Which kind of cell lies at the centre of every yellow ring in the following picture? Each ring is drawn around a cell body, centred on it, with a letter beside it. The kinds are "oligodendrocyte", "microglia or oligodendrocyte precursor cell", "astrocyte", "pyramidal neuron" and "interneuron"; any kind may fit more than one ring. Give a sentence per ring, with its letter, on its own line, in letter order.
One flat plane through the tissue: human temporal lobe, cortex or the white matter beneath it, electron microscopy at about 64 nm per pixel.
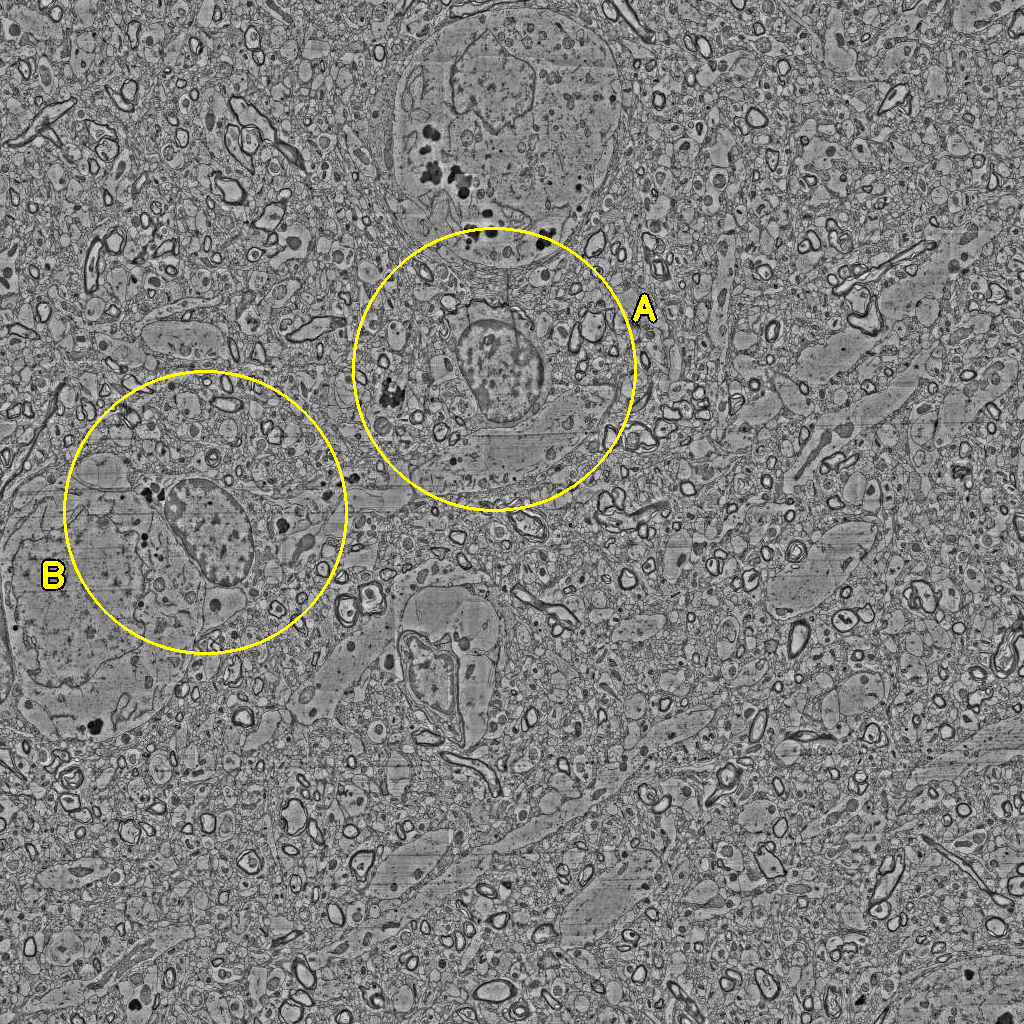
The cell body centred in ring A is that of an oligodendrocyte.
The cell body centred in ring B is that of a microglial cell or oligodendrocyte precursor cell.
